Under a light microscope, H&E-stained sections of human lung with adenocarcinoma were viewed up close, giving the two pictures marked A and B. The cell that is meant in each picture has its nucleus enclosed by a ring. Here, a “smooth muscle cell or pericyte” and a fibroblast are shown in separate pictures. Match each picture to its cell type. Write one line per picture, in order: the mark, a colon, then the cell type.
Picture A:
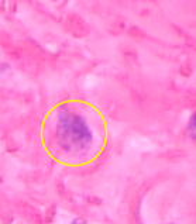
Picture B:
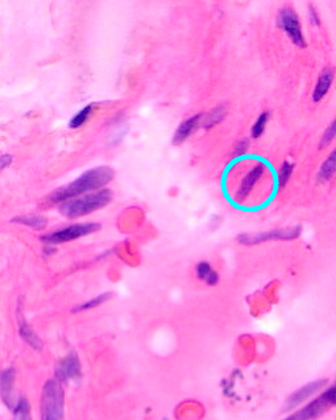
A: fibroblast
B: smooth muscle cell or pericyte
